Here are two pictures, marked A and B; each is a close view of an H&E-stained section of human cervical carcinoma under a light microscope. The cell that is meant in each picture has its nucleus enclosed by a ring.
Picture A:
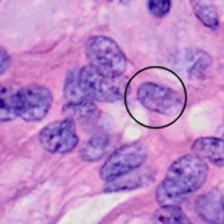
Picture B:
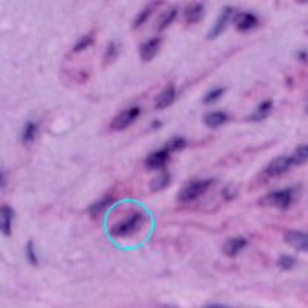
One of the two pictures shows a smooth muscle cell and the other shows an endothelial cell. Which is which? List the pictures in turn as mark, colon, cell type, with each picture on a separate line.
A: endothelial cell
B: smooth muscle cell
